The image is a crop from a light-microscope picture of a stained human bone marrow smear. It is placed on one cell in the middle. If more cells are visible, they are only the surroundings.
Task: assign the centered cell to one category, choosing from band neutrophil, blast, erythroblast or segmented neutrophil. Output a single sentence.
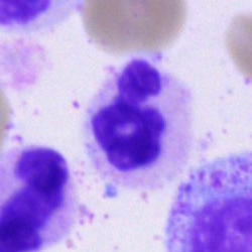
In the middle of this smear crop, the cell is a segmented neutrophil.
